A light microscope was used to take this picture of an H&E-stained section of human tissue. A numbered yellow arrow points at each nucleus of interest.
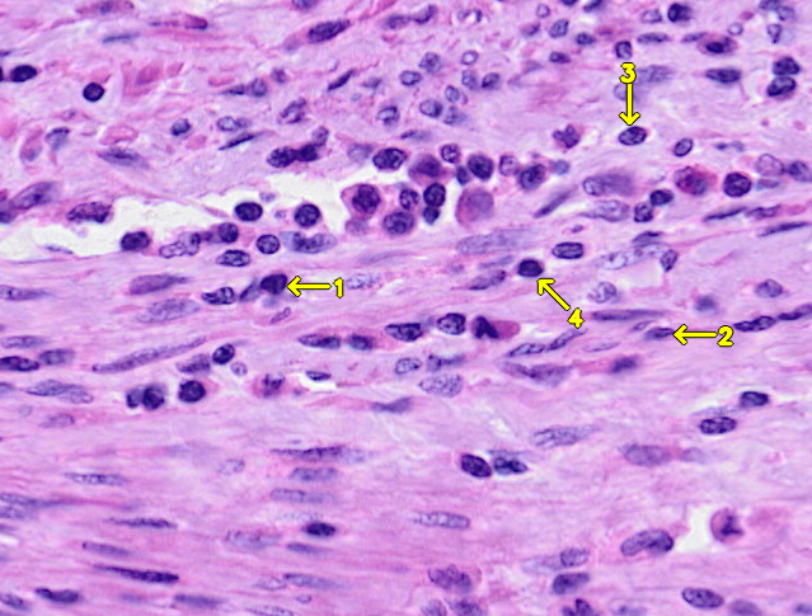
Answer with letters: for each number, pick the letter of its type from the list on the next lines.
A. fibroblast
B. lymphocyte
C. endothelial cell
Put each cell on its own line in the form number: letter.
1: B
2: A
3: B
4: B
